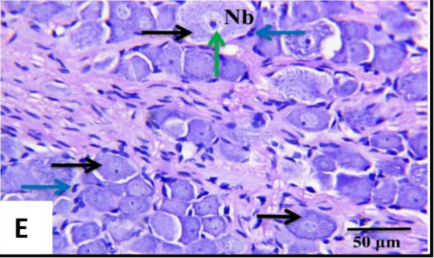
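This is a ganglion packed with large, round nerve cells lying in clusters between thin strands of fibrous tissue. Each nerve cell has plentiful purple cytoplasm with a granular look and a big pale round nucleus, often with a dark nucleolus in its centre. Small flattened dark nuclei of satellite cells cling to the rims of the nerve cells. Between the clusters run bundles of fibers with elongated nuclei. The cells sit close together with little empty space between them.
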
